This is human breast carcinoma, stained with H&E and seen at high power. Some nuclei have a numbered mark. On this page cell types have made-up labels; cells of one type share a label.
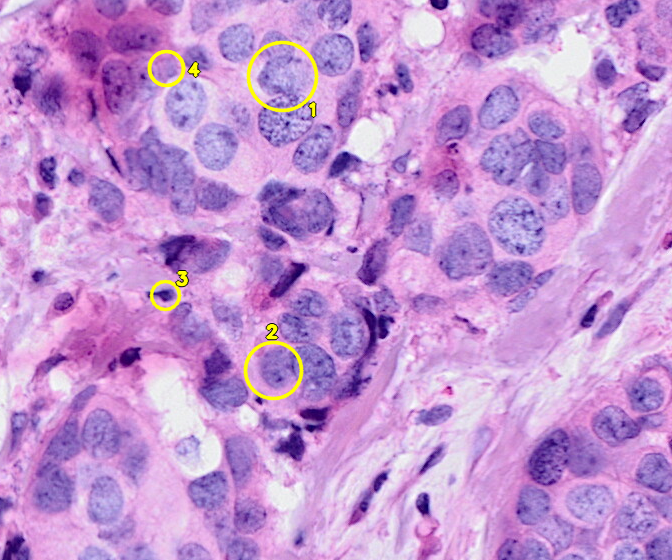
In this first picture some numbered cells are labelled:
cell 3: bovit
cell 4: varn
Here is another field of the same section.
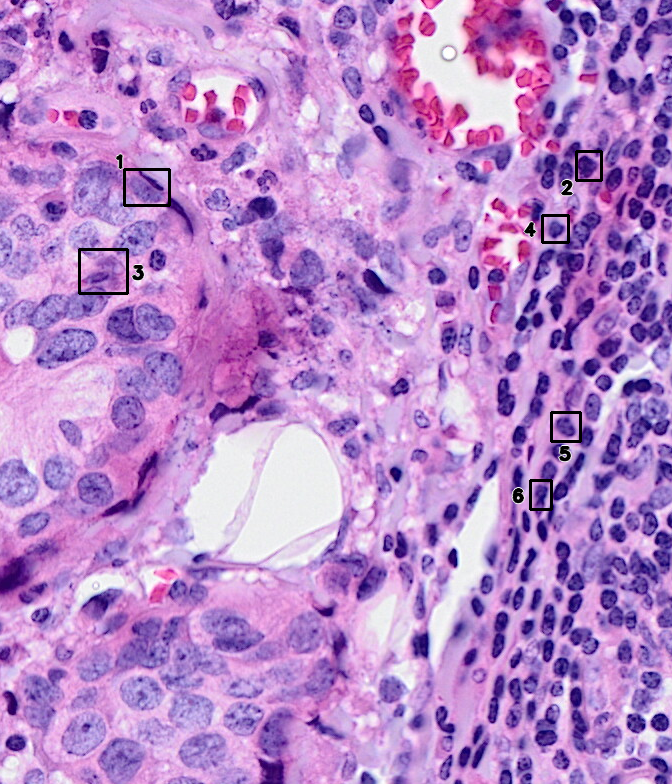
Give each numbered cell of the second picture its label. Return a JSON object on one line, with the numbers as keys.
{"1": "varn", "2": "bovit", "3": "varn", "4": "bovit", "5": "bovit", "6": "bovit"}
